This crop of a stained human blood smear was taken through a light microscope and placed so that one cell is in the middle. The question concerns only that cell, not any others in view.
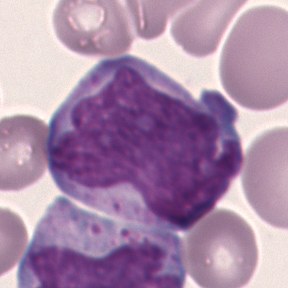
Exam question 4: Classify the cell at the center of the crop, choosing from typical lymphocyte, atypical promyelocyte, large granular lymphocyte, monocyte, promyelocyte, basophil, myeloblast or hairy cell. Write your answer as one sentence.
This particular crop is centered on an atypical promyelocyte.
